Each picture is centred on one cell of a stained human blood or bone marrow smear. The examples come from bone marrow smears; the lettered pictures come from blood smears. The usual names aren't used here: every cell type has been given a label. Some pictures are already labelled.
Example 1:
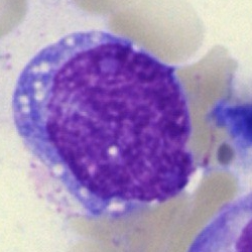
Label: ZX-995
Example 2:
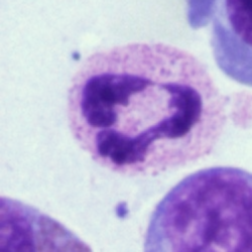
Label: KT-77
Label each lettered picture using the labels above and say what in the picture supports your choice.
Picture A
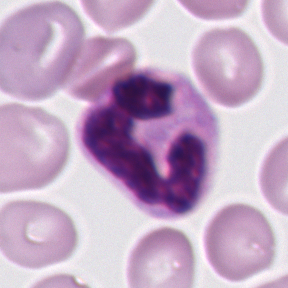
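KT-77: The nucleus is a thick curved band wrapped around a pale central area of cytoplasm.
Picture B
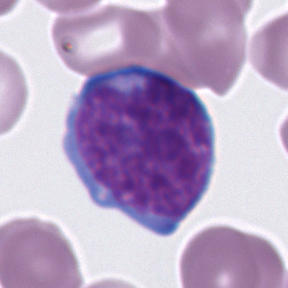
ZX-995: The cytoplasm forms a thin rim that is widest along the lower left of the cell.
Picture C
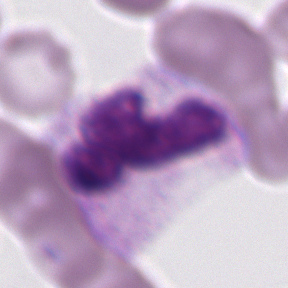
KT-77: A broad area of cytoplasm lies below the nucleus.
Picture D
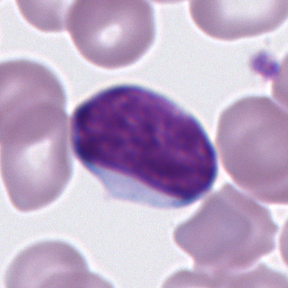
ZX-995: The cytoplasm forms a narrow crescent along the lower edge of the cell.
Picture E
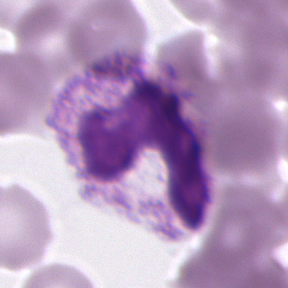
KT-77: The nucleus is a single unsegmented band bent into a hook shape.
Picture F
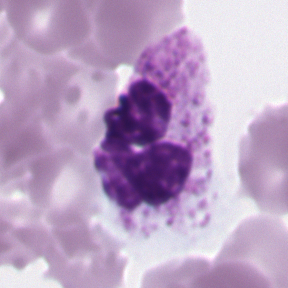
KT-77: The cytoplasm is plentiful and pale, with a faint lilac tint.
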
